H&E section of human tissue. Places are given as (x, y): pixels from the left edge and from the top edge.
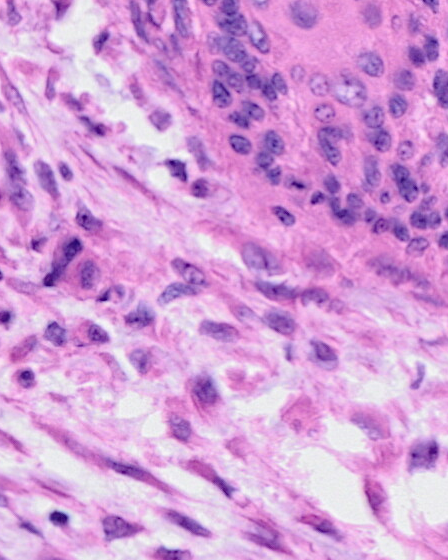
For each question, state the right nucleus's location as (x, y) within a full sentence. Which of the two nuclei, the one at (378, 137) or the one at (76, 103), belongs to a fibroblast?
Located at (76, 103), this nucleus is the one belonging to a fibroblast.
